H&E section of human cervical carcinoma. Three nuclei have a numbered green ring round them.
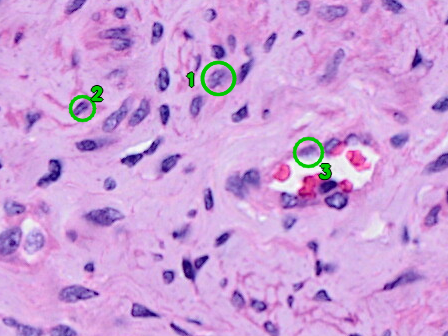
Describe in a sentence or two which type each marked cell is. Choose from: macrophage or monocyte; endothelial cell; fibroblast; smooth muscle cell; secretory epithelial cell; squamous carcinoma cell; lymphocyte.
Cell 1 is a smooth muscle cell, cell 2 is a smooth muscle cell and cell 3 is an endothelial cell.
